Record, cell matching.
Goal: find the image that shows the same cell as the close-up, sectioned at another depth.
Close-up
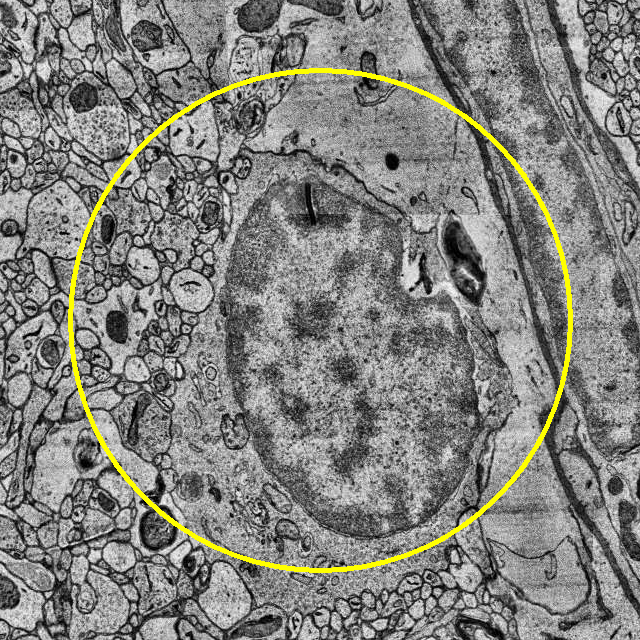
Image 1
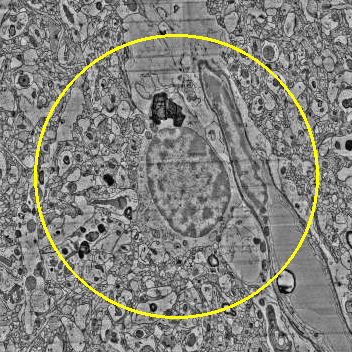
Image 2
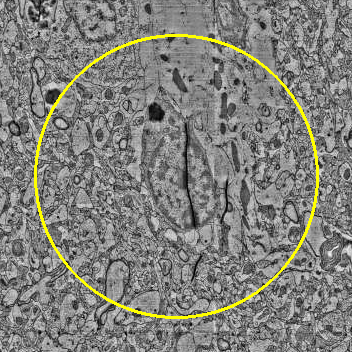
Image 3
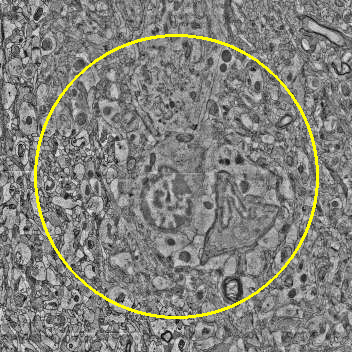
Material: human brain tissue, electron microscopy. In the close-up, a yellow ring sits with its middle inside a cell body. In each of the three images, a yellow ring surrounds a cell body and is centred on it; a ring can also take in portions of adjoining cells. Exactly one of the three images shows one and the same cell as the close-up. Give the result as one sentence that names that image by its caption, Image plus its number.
The ring in Image 1 surrounds the cell that the close-up shows.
